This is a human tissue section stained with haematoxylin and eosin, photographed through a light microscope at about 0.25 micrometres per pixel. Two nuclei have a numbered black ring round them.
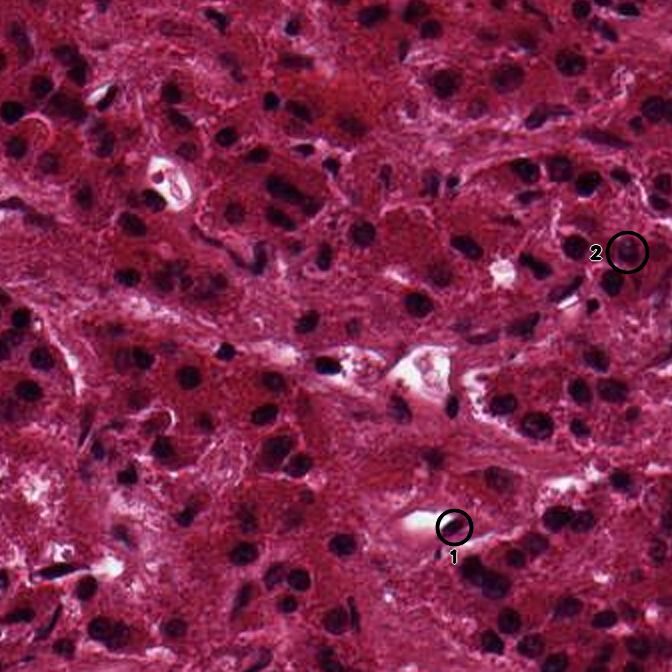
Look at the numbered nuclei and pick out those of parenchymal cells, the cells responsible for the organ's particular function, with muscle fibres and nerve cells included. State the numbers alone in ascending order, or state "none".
2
